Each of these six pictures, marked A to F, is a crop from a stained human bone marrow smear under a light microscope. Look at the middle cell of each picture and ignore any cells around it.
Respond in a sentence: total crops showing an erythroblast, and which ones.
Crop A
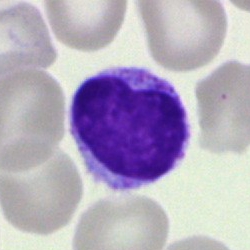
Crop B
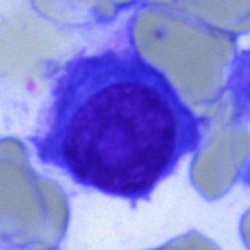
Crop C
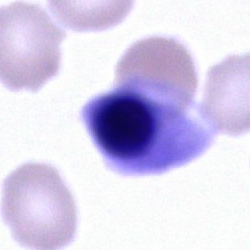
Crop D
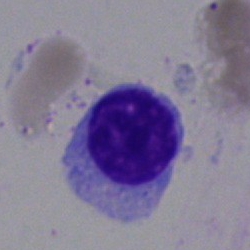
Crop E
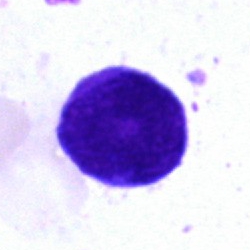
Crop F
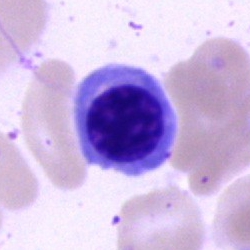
The set contains three crops with erythroblasts, those being C, D and F.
